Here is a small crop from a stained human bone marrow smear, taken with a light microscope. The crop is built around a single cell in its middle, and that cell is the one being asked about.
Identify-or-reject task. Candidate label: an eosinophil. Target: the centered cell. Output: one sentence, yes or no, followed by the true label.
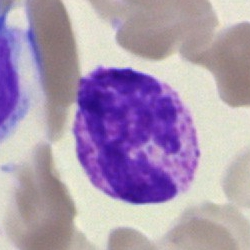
No, at the middle of the crop is a basophil, not an eosinophil.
